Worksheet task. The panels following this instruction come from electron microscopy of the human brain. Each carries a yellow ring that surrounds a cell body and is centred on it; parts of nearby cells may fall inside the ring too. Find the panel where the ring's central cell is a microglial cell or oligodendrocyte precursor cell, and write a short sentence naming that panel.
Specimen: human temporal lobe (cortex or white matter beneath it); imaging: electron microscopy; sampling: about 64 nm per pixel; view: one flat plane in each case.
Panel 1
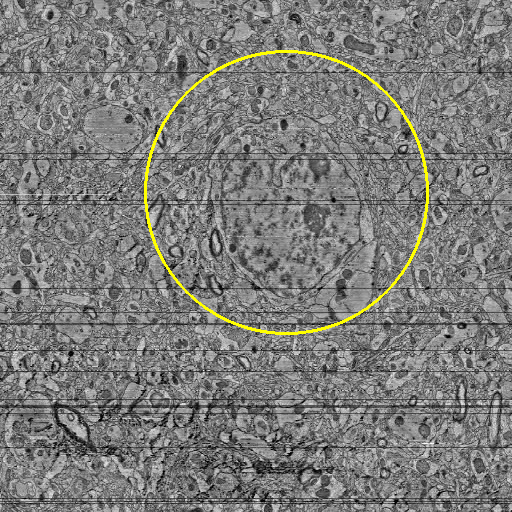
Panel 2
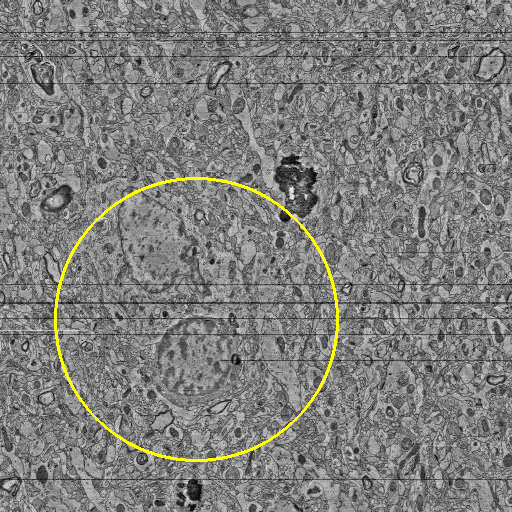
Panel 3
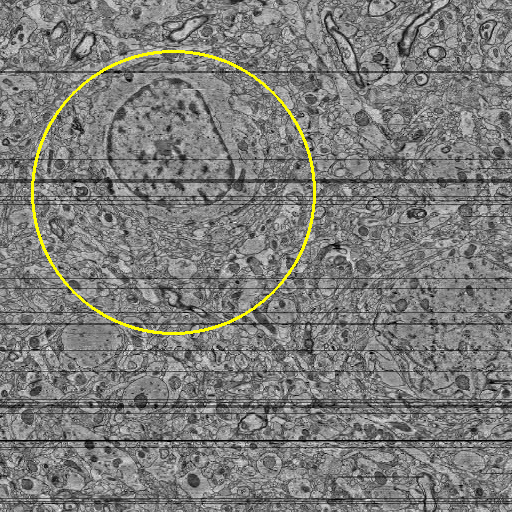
The cell sought is in Panel 3.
